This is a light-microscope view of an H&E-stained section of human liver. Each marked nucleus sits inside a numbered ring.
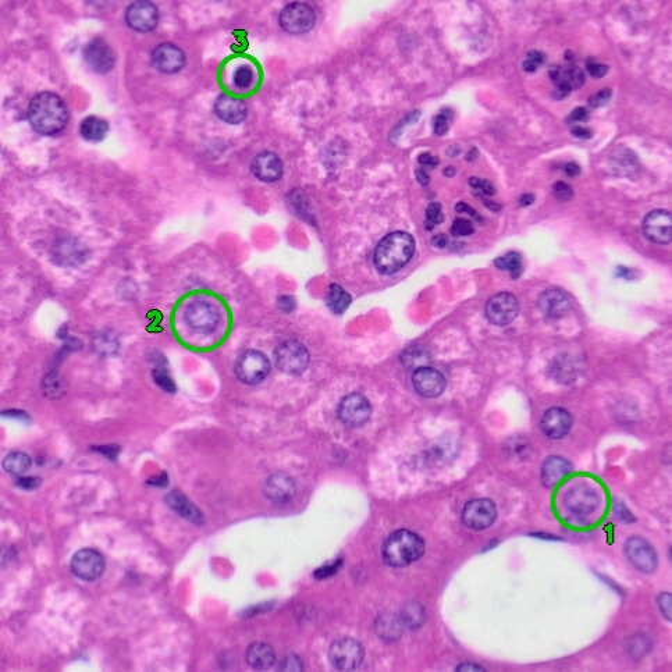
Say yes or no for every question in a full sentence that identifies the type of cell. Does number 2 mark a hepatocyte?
Yes, cell 2 is a hepatocyte in this tissue section.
